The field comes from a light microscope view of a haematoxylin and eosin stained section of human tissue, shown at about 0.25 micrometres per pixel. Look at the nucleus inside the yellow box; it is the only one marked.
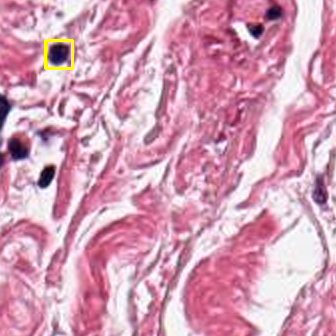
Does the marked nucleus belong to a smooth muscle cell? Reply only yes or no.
no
